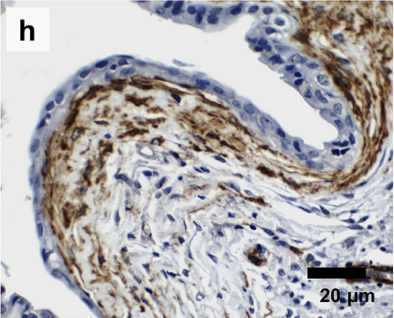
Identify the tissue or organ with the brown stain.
Subepithelial connective tissue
